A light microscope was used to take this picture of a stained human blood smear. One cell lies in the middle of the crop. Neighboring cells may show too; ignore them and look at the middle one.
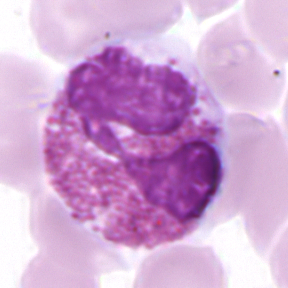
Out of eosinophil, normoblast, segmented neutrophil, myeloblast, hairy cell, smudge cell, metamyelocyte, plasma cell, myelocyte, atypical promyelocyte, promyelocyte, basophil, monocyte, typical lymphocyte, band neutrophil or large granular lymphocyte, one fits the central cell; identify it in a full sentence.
Positioned in the middle of the crop is an eosinophil.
